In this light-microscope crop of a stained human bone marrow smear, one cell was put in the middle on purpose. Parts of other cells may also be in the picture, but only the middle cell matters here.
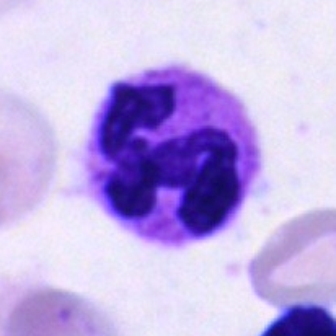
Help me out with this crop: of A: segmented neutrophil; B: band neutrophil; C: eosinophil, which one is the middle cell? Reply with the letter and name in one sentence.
The middle of the crop holds a segmented neutrophil, which points to option A.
